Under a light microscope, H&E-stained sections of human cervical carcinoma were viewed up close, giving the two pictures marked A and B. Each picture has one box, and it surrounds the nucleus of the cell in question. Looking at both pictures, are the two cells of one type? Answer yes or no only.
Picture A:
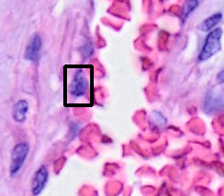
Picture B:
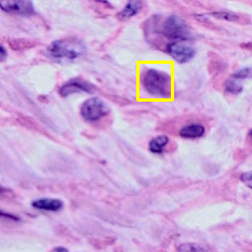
no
